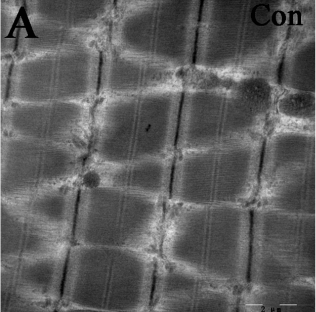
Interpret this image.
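Skeletal muscle fibre in longitudinal section, with myofibrils arranged in regular, parallel sarcomeres. Dark Z lines run vertically at regular intervals, and pale gaps between the myofibrils give a grid-like pattern, with small dense bodies at some junctions.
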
